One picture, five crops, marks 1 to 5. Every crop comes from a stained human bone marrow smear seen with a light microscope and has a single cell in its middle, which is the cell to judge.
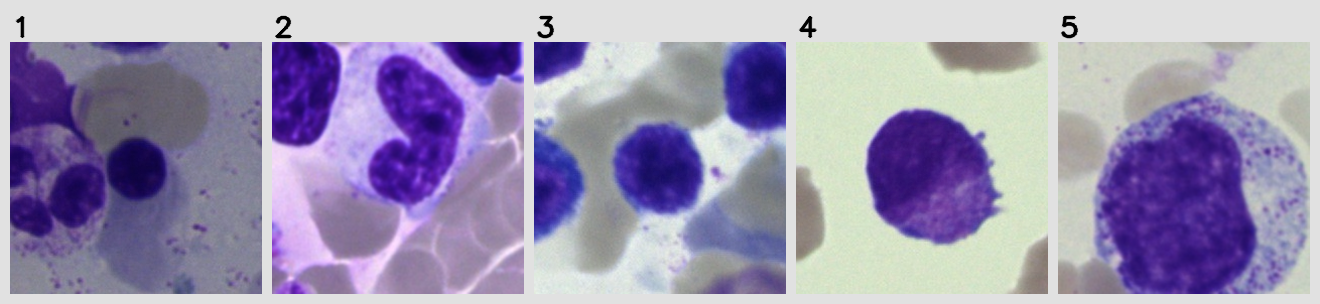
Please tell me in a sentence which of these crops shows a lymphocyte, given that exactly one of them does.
The one showing a lymphocyte is crop 3.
